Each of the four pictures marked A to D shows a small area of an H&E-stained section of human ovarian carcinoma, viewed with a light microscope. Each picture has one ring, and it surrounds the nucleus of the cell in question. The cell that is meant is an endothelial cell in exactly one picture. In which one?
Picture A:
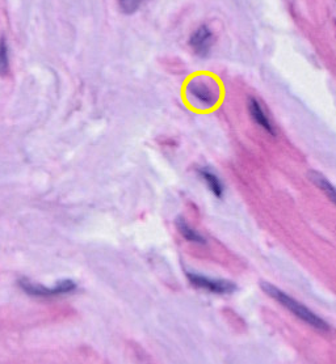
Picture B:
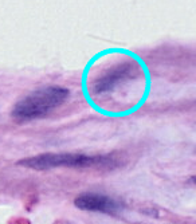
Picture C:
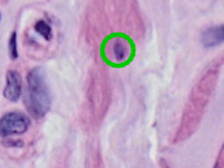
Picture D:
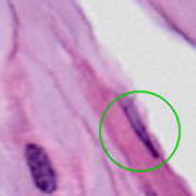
B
